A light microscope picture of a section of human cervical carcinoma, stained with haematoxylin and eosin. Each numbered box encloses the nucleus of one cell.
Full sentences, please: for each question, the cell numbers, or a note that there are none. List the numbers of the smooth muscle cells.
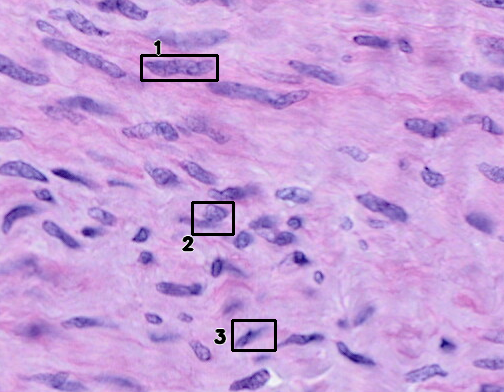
The cells numbered 1 and 2 fall into the category of smooth muscle cells.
